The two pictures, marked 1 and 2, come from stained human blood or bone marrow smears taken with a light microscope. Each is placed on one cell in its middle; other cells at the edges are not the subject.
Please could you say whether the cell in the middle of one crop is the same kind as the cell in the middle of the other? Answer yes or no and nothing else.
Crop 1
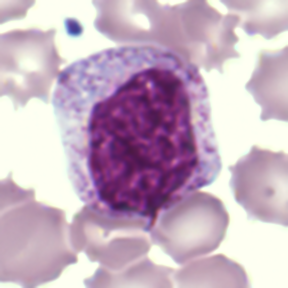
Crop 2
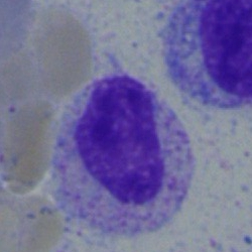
yes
